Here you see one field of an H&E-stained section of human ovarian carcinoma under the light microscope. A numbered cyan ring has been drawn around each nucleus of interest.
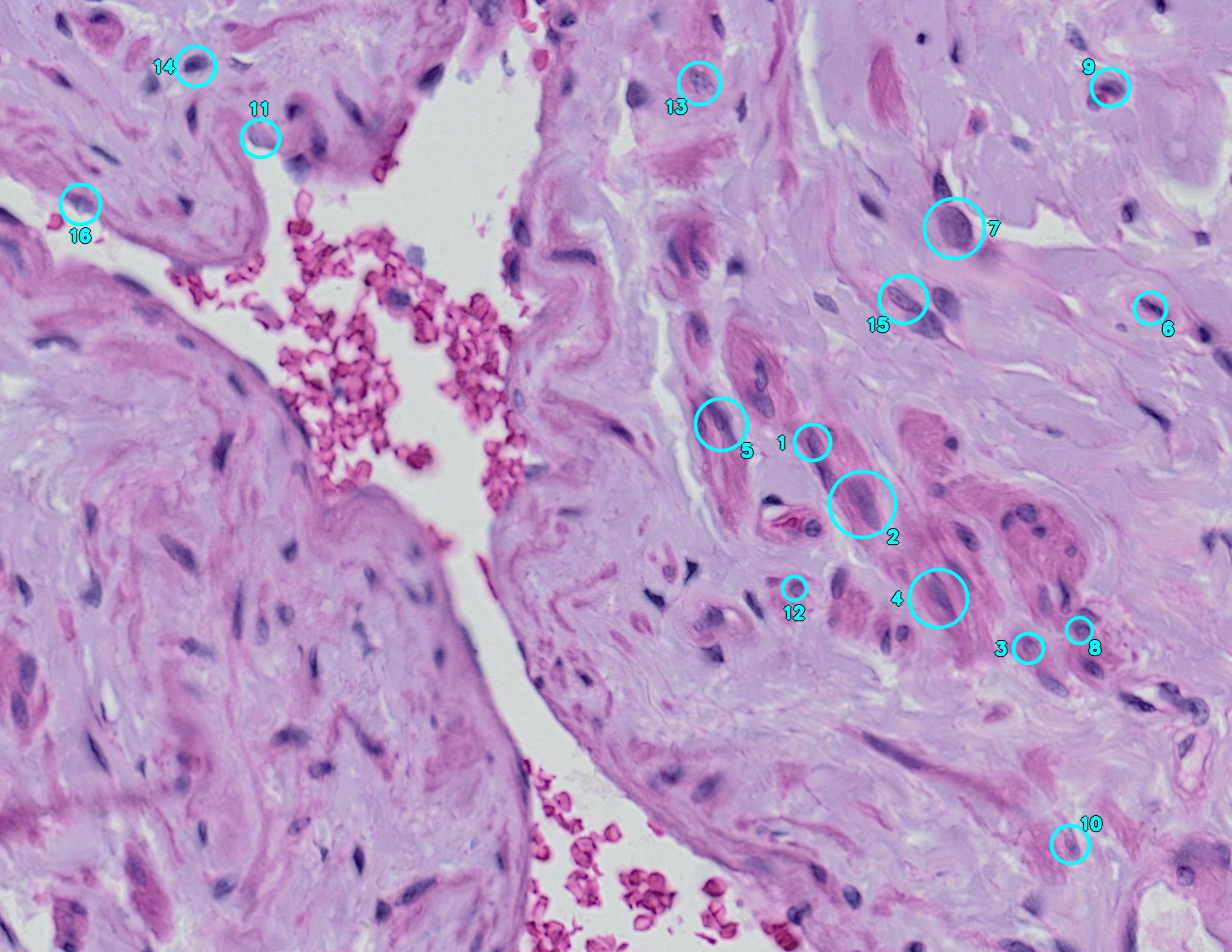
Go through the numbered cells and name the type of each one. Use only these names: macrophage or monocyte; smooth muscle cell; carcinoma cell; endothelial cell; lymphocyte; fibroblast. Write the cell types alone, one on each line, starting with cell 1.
smooth muscle cell
smooth muscle cell
smooth muscle cell
smooth muscle cell
smooth muscle cell
endothelial cell
endothelial cell
smooth muscle cell
endothelial cell
smooth muscle cell
endothelial cell
smooth muscle cell
smooth muscle cell
fibroblast
endothelial cell
endothelial cell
